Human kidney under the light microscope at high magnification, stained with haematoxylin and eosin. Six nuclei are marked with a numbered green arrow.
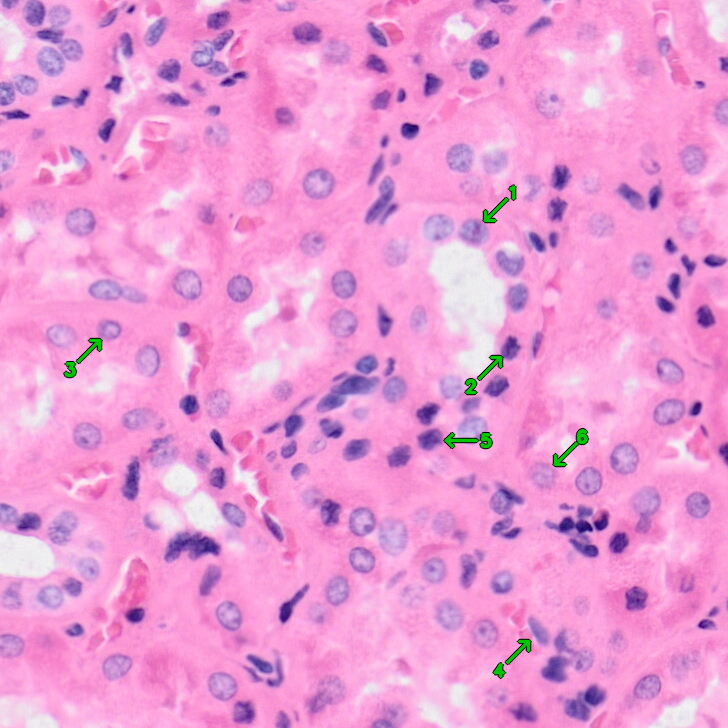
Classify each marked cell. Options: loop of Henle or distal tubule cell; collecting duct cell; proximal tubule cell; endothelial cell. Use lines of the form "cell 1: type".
cell 1: loop of Henle or distal tubule cell
cell 2: loop of Henle or distal tubule cell
cell 3: proximal tubule cell
cell 4: endothelial cell
cell 5: loop of Henle or distal tubule cell
cell 6: proximal tubule cell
